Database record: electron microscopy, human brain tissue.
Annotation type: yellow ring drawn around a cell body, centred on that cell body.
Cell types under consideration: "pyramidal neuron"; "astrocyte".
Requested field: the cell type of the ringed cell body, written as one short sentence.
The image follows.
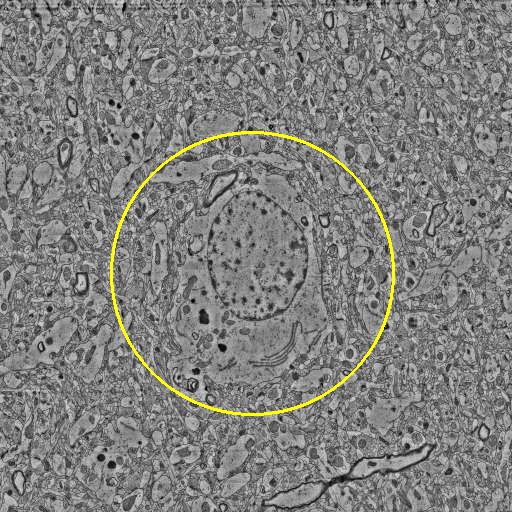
The ringed cell body represents an astrocyte.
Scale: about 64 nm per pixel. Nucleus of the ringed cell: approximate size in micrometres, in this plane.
The nucleus appears roughly 8 by 6 micrometres in this plane.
